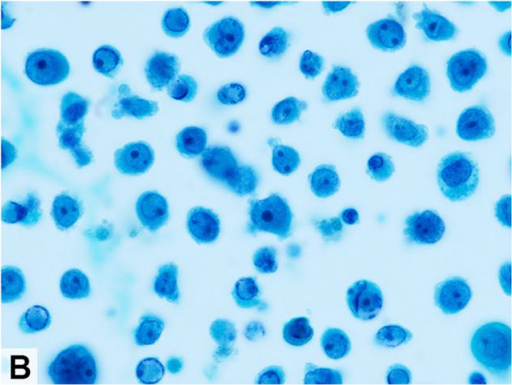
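This smear shows discohesive tumor cells lying singly in a pale background. Each cell has a round to slightly irregular nucleus stained blue. Most nuclei show a single prominent nucleolus, often near the centre. A thin rim of pale blue-green cytoplasm surrounds many nuclei, sometimes with ragged edges.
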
